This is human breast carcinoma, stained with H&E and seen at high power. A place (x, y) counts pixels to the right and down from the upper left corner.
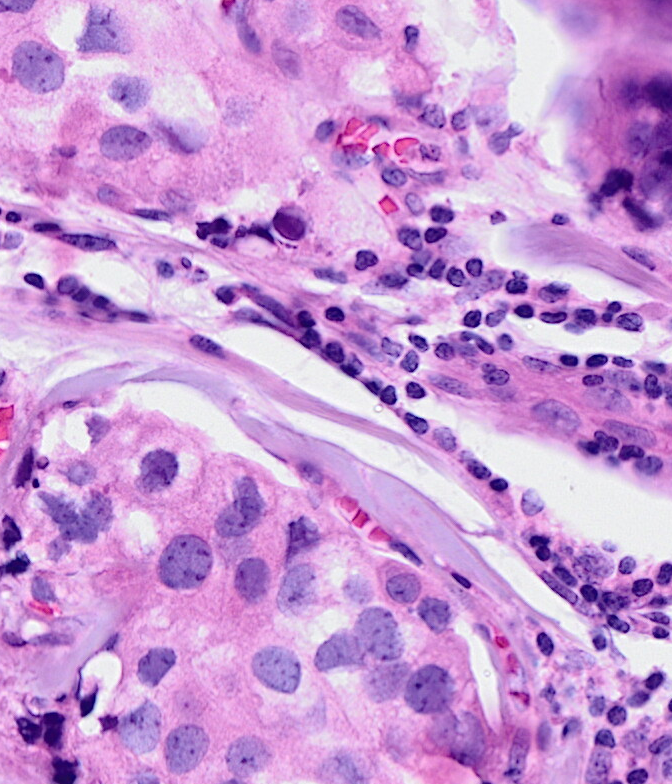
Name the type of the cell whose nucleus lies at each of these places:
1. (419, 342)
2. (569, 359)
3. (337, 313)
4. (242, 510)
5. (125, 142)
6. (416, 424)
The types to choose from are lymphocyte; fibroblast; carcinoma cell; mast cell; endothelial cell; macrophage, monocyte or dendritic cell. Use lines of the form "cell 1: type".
cell 1: lymphocyte
cell 2: lymphocyte
cell 3: lymphocyte
cell 4: carcinoma cell
cell 5: carcinoma cell
cell 6: lymphocyte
